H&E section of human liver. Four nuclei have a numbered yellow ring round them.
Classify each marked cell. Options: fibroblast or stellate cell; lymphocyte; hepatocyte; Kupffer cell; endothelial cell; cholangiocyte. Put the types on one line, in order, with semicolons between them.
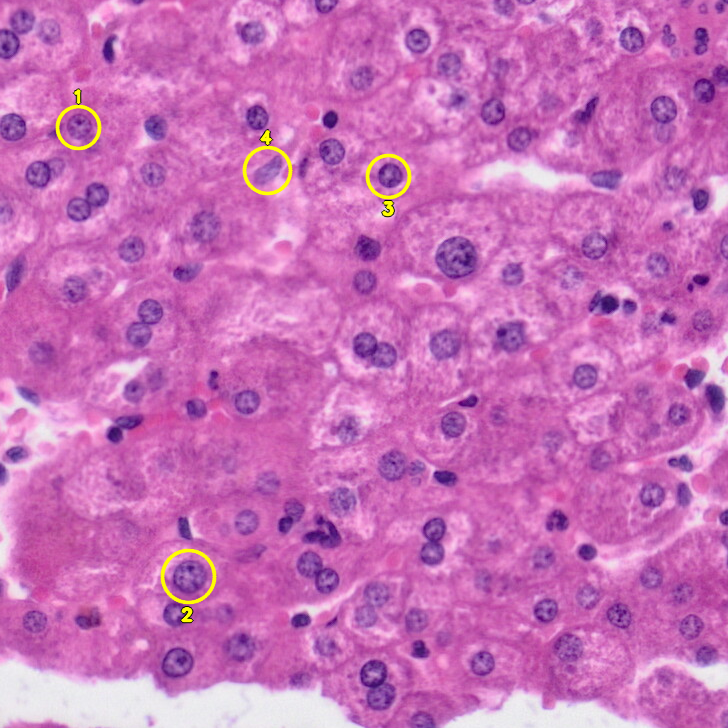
hepatocyte; hepatocyte; hepatocyte; Kupffer cell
